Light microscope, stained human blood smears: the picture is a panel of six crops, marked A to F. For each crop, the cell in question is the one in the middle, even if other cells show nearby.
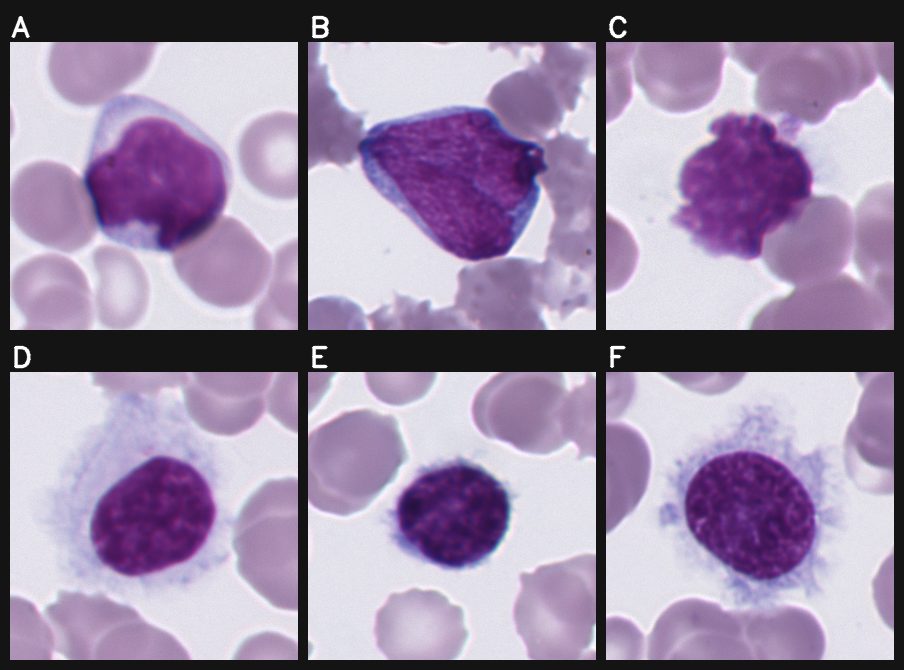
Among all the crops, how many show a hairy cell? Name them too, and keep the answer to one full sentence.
The hairy cells are found in three crops, namely D, E and F.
